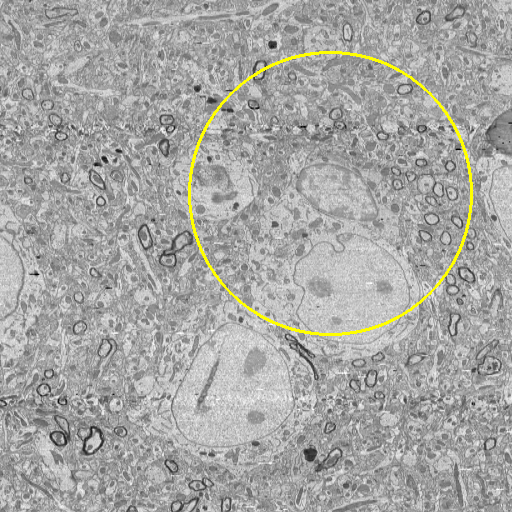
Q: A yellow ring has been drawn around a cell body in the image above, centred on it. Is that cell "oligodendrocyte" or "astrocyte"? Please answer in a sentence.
The ring surrounds the cell body of an oligodendrocyte.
